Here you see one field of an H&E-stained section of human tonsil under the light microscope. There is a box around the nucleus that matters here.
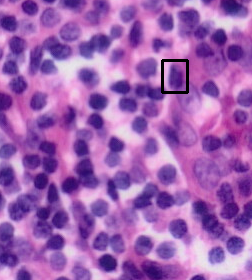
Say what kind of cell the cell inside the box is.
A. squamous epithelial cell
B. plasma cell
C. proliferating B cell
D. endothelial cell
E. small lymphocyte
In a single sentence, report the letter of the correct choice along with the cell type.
Option D is correct; the cell inside the box is an endothelial cell.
